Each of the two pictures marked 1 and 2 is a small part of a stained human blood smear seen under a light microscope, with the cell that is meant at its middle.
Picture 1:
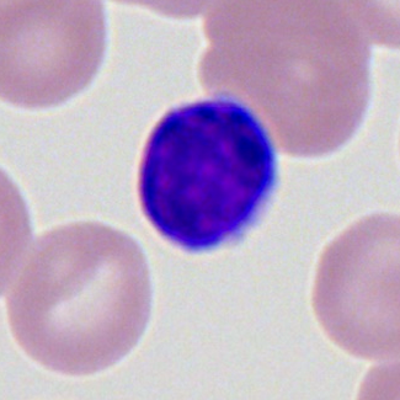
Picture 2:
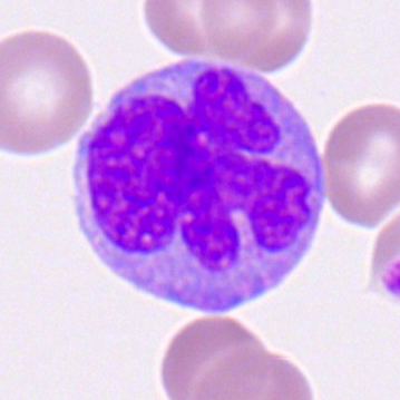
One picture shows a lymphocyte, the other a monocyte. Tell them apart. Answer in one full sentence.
In picture 1 the cell is a lymphocyte; in picture 2, a monocyte.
